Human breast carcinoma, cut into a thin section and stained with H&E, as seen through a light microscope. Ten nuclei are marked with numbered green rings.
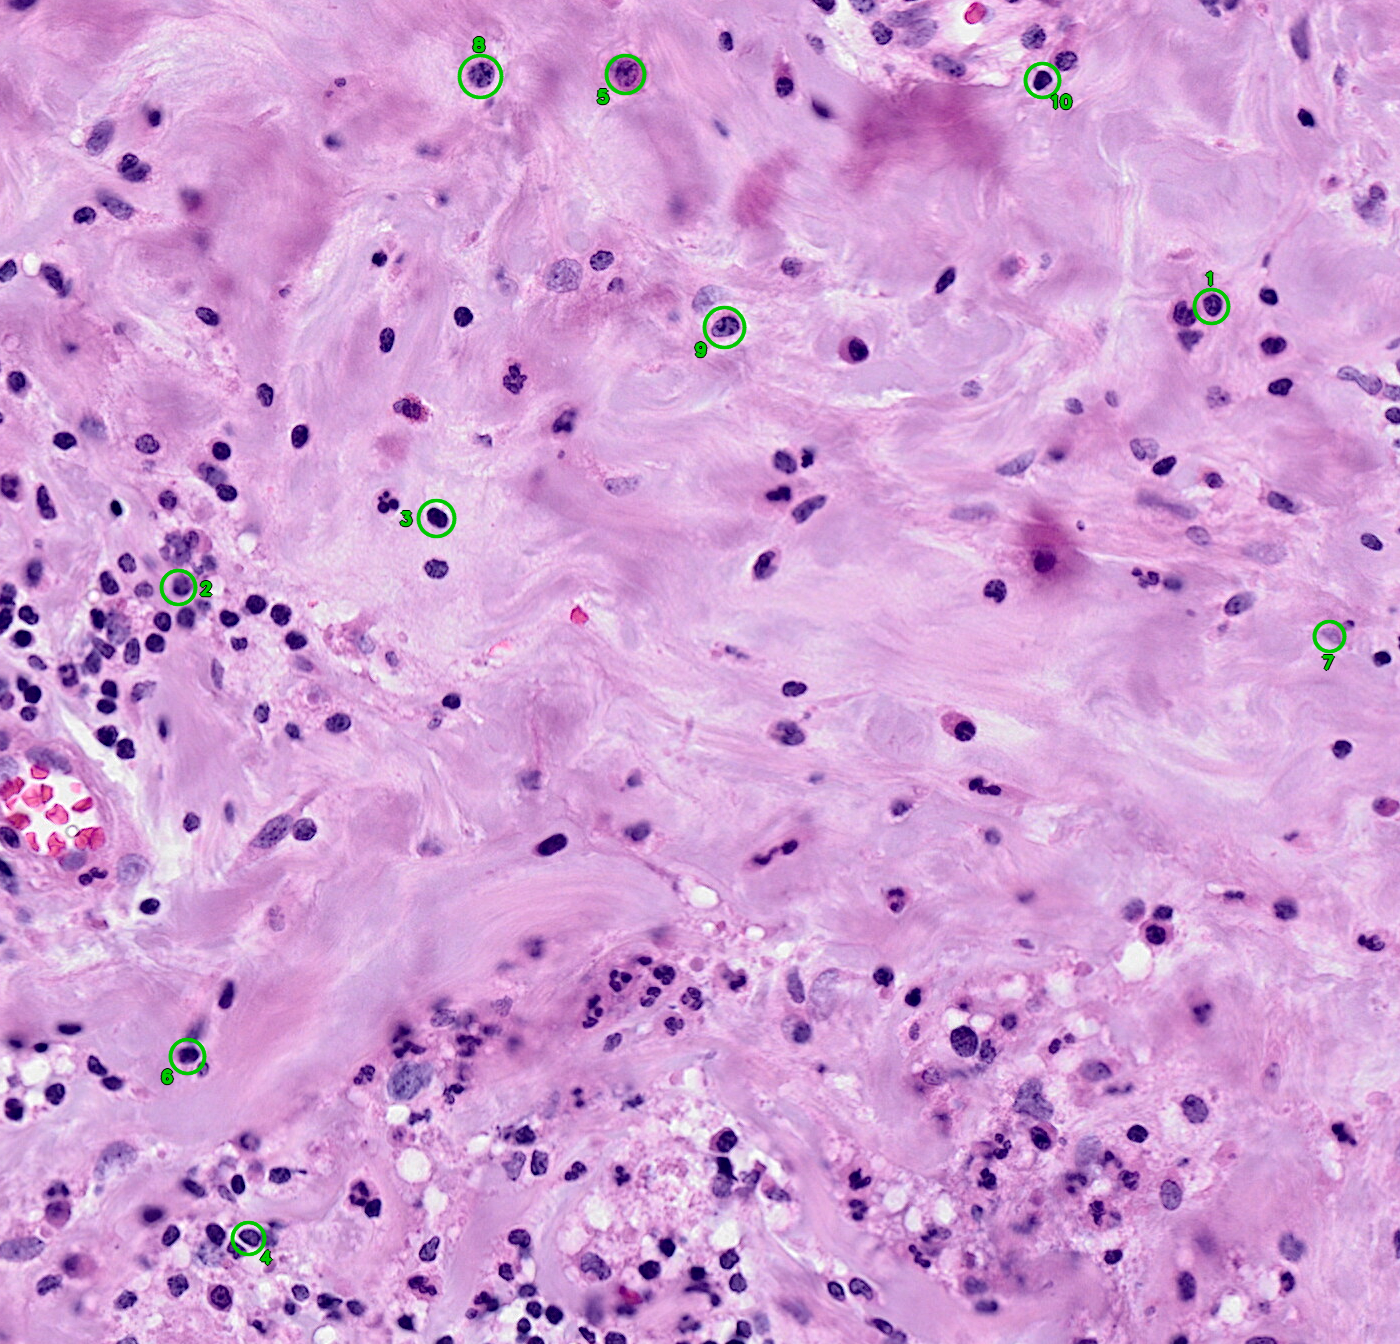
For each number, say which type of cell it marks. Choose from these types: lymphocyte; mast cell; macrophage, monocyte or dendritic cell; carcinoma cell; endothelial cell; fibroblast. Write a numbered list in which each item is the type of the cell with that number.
1. lymphocyte
2. lymphocyte
3. lymphocyte
4. lymphocyte
5. mast cell
6. lymphocyte
7. fibroblast
8. mast cell
9. mast cell
10. lymphocyte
